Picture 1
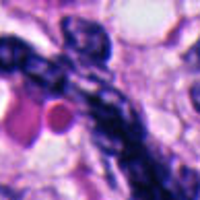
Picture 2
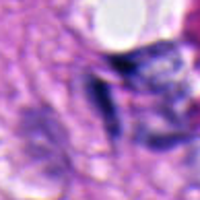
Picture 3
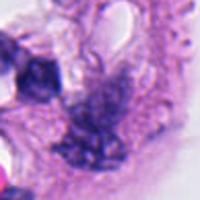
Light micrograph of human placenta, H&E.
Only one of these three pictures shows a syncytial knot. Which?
Picture 1.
